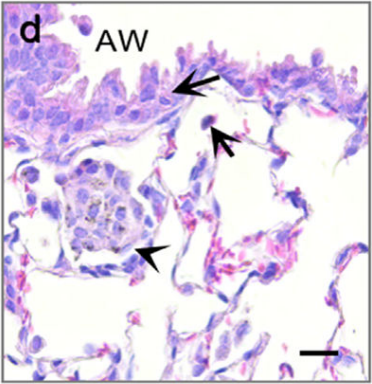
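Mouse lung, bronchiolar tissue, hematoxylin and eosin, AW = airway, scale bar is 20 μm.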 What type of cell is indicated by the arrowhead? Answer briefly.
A: Macrophages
